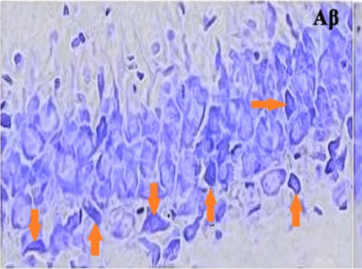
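The pyramidal cell layer of the hippocampus is seen as a dense band of violet-blue neurons, but many cell bodies look uneven in size and shape. Several cells, marked by arrows, are small, dark and angular or spindle-shaped, and pale clefts open around some of them. Beside them lie larger, rounder, more evenly stained neurons.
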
